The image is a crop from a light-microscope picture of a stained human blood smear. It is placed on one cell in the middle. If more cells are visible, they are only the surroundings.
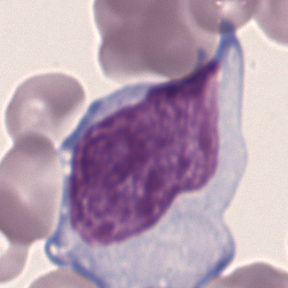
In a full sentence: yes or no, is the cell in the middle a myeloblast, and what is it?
Yes, the cell in the middle is rightly called a myeloblast.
